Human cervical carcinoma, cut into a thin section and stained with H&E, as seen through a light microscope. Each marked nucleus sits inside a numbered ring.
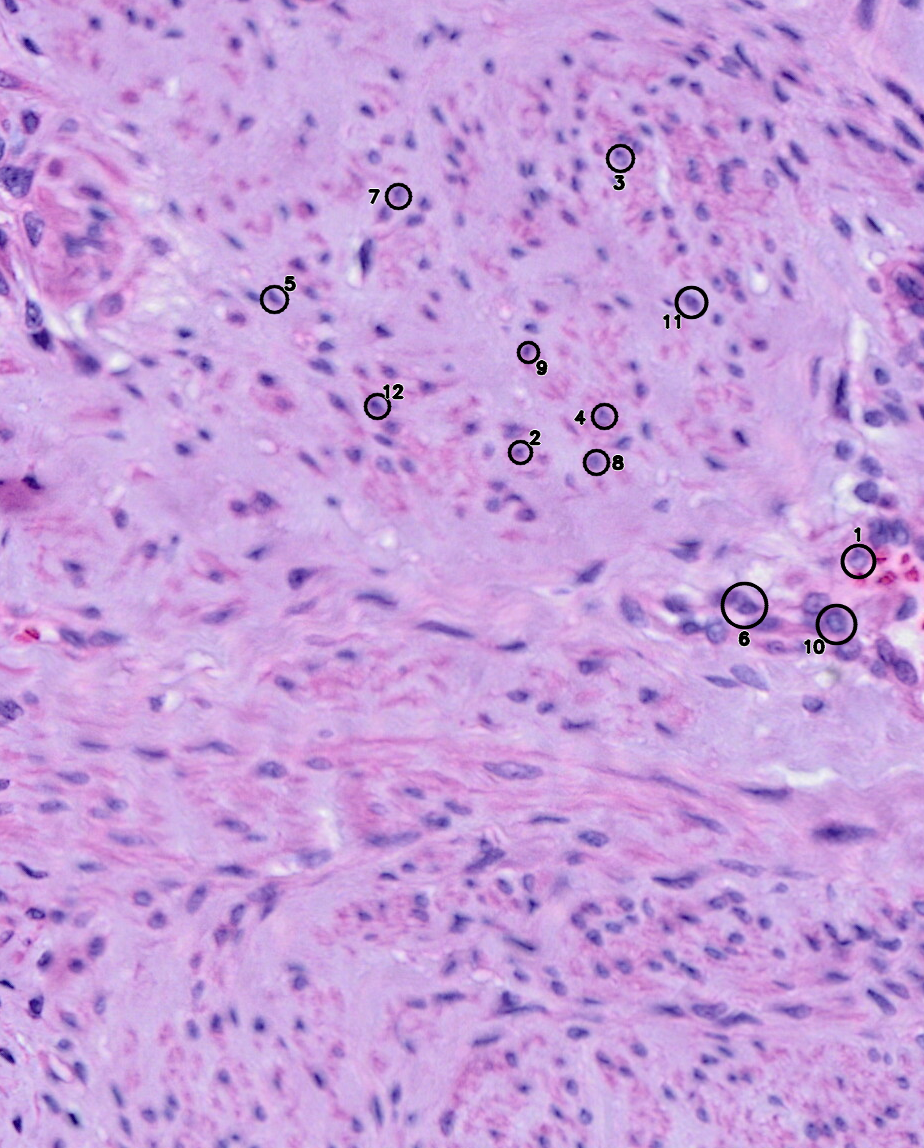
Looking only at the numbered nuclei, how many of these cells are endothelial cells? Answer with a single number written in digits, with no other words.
3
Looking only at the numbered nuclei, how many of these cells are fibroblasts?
2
